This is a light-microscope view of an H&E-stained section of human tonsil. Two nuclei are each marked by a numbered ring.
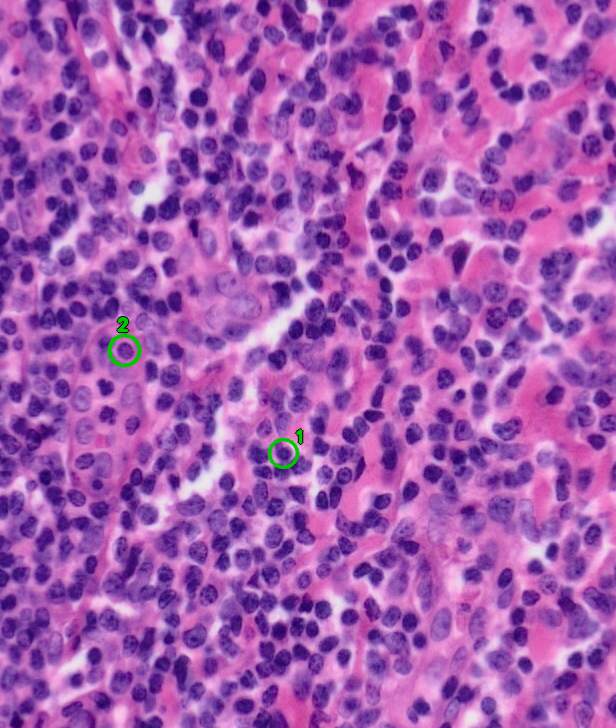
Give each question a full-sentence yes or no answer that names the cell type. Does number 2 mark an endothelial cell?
Yes, in this tissue section, number 2 is an endothelial cell.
